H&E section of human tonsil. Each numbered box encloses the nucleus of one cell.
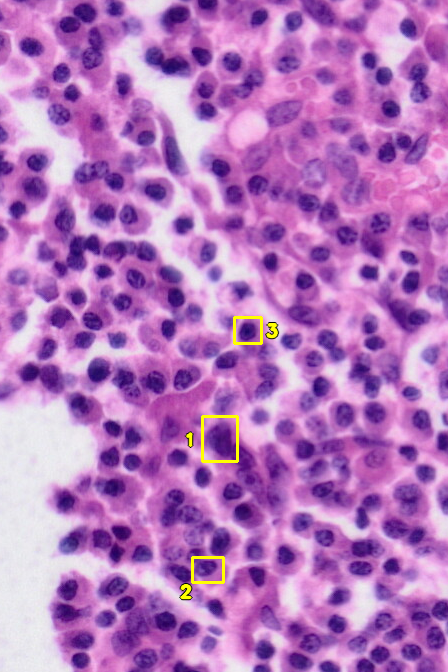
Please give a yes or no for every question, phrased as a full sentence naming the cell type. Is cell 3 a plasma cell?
Yes, so the cell at label 3 is a plasma cell.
